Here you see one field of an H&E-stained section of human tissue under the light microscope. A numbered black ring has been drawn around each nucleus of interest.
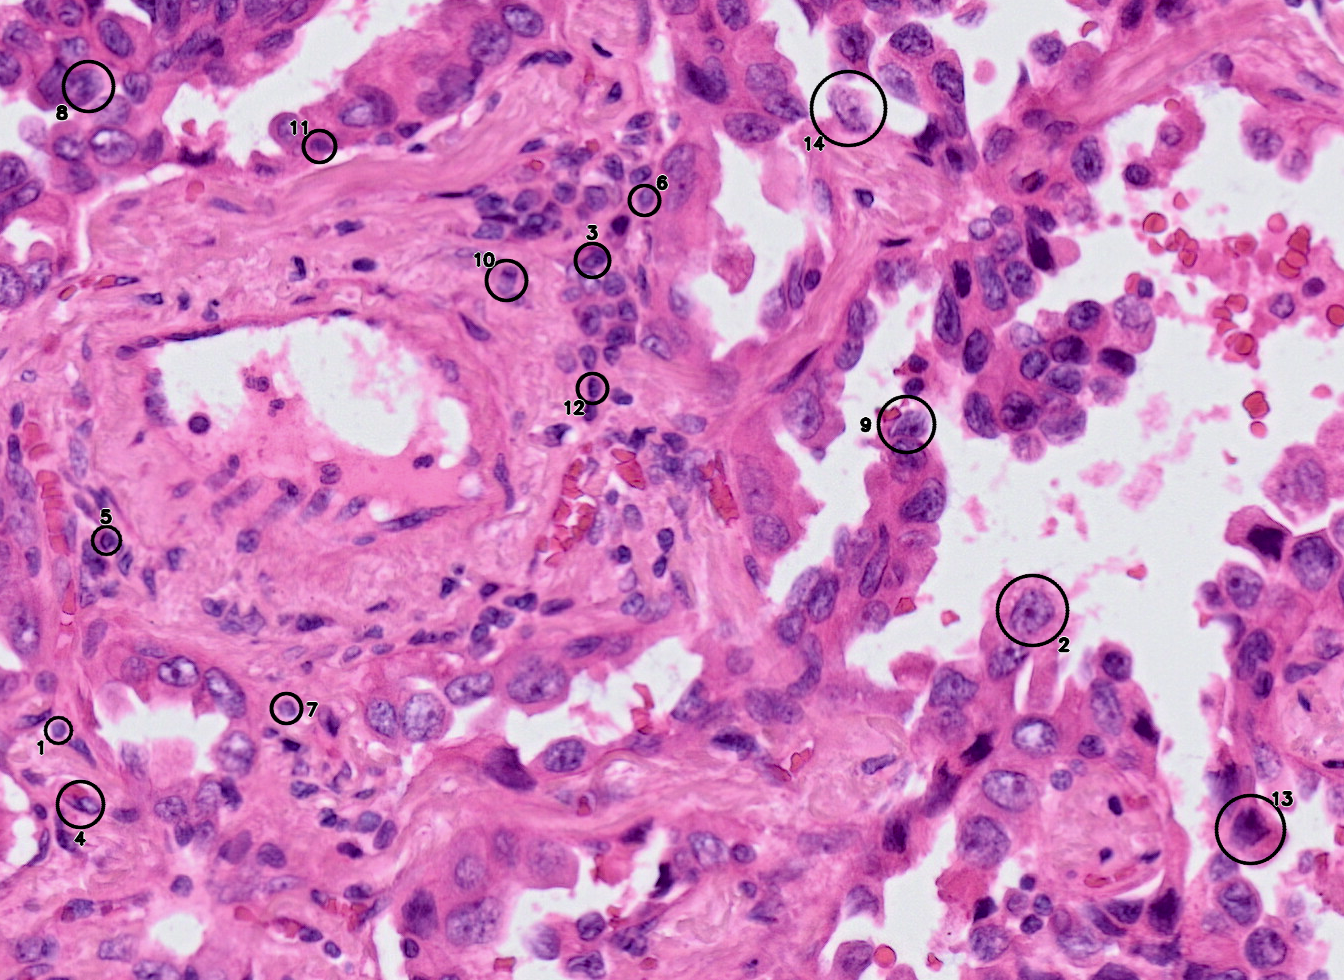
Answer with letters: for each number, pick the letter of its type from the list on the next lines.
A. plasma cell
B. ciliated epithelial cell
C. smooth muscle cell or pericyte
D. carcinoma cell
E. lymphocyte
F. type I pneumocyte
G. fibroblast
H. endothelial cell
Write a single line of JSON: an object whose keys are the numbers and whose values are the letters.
{"1": "E", "2": "D", "3": "A", "4": "H", "5": "A", "6": "E", "7": "E", "8": "D", "9": "D", "10": "A", "11": "D", "12": "E", "13": "D", "14": "D"}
